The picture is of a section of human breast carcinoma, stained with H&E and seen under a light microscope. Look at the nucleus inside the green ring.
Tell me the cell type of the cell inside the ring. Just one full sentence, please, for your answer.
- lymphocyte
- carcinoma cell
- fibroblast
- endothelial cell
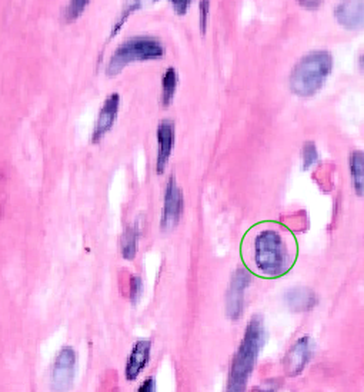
Labelled by cell type, the cell inside the ring is an endothelial cell.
